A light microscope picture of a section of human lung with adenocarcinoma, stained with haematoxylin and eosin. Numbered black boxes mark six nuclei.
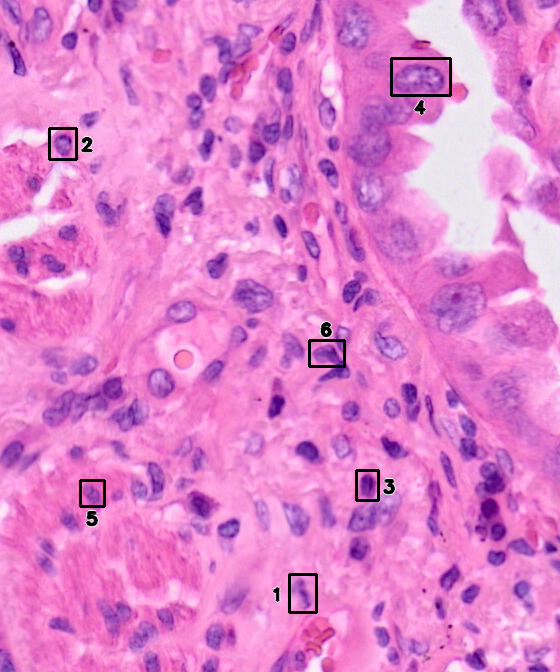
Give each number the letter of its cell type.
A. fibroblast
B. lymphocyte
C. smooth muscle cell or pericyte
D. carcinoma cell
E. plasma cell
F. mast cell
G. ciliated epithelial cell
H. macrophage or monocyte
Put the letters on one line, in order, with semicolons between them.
A; F; E; D; C; B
